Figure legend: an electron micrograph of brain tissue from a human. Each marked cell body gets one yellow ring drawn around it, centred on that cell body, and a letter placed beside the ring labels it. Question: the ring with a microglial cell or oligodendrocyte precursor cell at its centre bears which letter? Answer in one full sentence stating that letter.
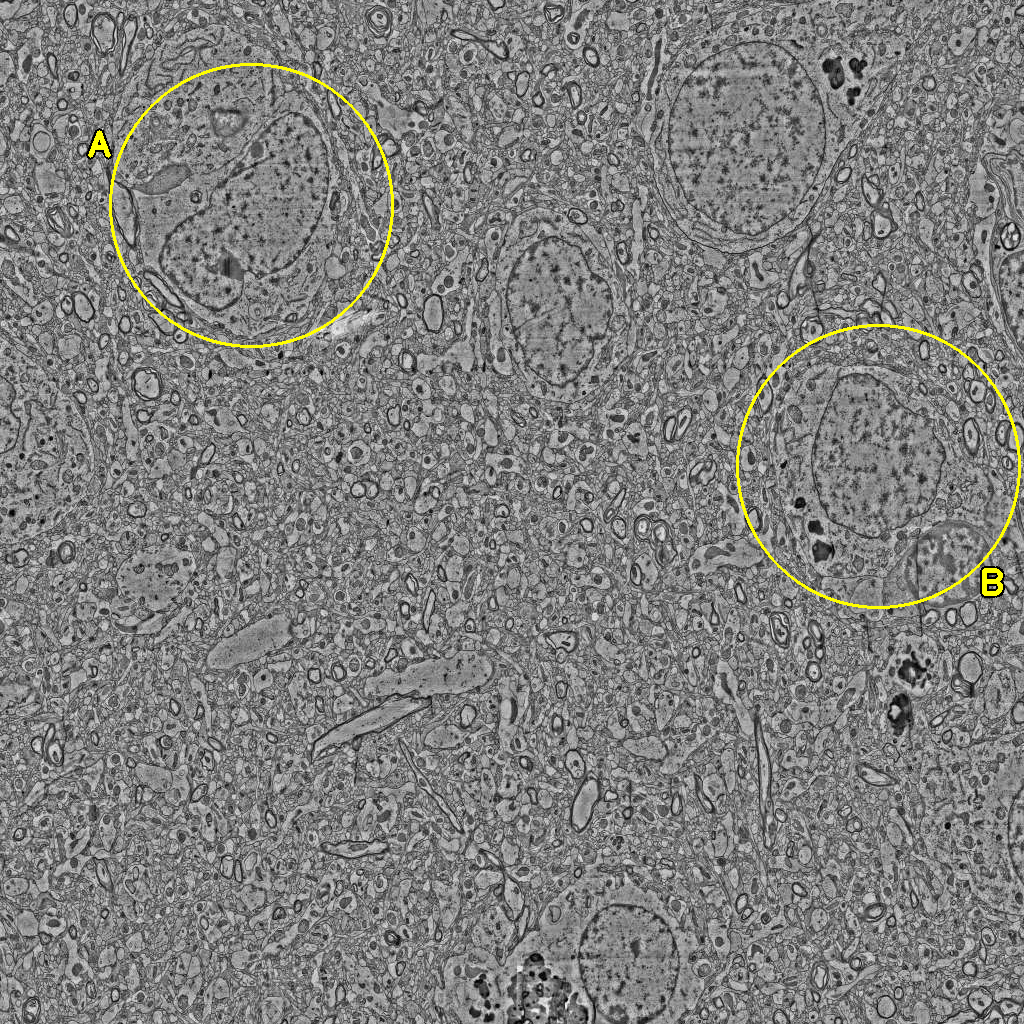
Labelled A is the ring whose centre holds the cell asked for in this picture.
